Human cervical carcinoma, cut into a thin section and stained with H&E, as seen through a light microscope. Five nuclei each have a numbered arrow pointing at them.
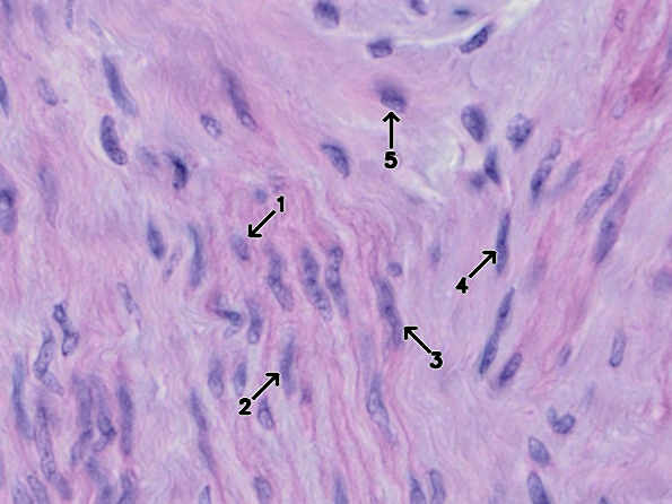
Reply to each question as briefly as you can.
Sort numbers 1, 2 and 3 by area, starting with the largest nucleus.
3, 2, 1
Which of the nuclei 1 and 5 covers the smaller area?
1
